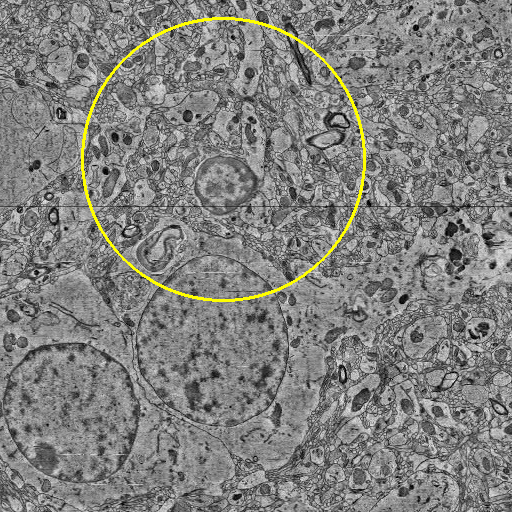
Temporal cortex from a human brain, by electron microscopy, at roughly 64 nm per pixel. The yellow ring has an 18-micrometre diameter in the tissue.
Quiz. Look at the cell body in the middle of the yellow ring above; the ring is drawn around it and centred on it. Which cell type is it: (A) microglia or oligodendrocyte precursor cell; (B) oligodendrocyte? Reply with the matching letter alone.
A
